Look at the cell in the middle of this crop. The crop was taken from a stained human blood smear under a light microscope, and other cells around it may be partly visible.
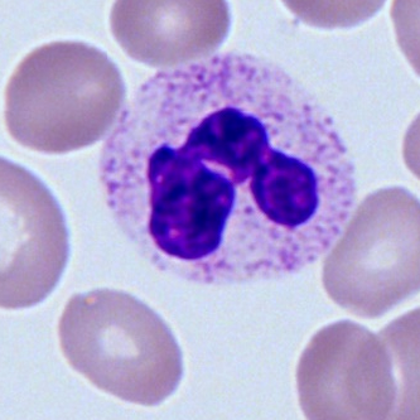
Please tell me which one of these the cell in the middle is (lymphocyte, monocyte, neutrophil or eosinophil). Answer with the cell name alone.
neutrophil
